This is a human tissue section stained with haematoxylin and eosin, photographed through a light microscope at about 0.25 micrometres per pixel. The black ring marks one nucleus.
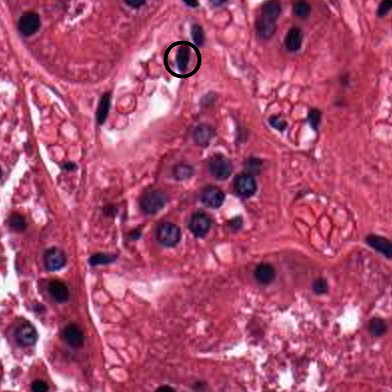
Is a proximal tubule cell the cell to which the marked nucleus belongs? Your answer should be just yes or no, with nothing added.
no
